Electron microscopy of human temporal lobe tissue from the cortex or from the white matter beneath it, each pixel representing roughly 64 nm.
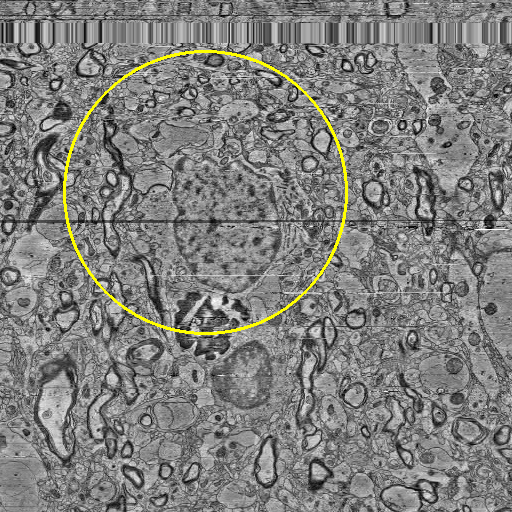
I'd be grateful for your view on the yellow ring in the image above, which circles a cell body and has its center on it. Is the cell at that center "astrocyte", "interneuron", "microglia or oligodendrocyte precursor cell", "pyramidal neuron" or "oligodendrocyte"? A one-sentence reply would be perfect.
The cell at the center of the yellow ring is a microglial cell or oligodendrocyte precursor cell.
